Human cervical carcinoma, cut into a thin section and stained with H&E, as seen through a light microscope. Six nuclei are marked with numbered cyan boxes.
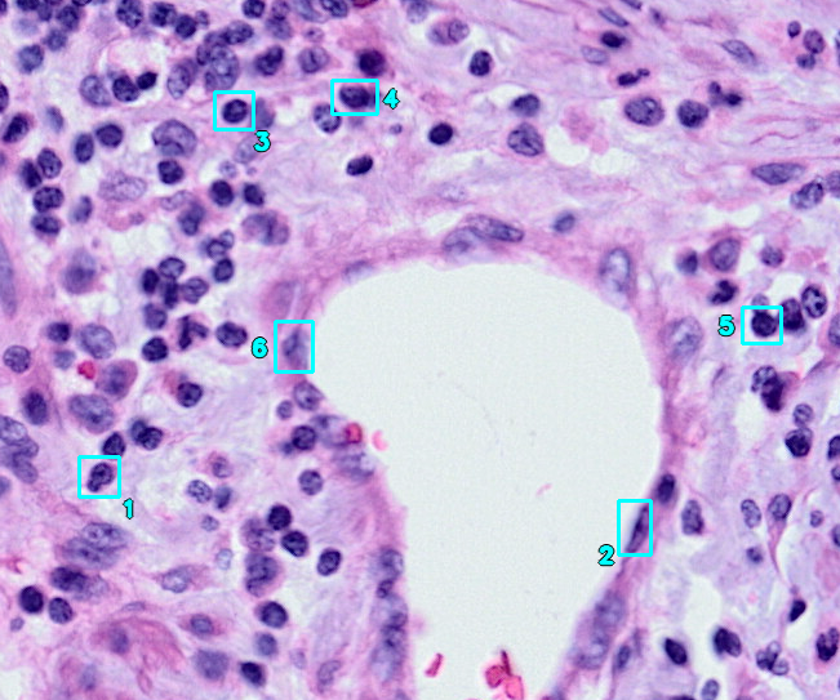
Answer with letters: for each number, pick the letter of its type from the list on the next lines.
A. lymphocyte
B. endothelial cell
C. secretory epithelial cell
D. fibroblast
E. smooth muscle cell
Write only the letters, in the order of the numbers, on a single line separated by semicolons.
A; B; A; A; A; B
